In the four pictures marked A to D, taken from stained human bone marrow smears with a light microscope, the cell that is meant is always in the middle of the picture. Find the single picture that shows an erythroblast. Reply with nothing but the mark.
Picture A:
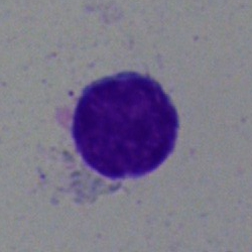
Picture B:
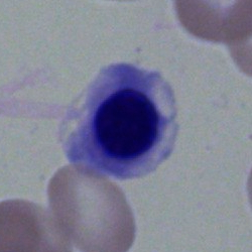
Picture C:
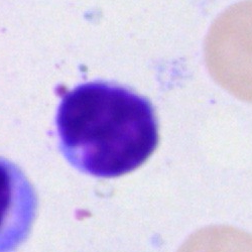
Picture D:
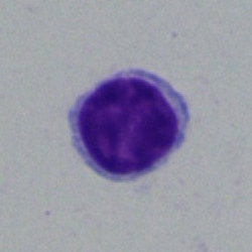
B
